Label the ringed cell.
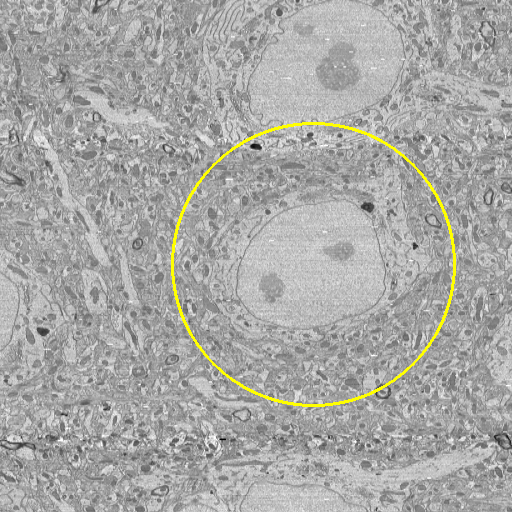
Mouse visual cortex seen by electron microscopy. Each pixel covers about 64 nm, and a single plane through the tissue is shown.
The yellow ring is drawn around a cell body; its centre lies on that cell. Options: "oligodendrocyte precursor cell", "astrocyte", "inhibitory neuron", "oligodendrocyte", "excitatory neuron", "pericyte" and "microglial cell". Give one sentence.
The ringed cell is an excitatory neuron.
